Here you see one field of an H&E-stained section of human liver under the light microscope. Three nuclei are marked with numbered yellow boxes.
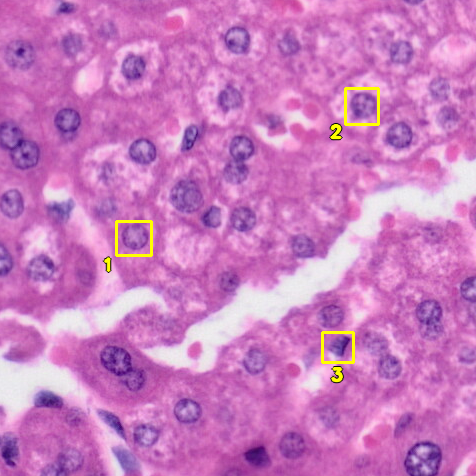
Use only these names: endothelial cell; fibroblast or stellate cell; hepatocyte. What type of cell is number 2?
hepatocyte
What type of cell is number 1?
hepatocyte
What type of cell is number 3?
fibroblast or stellate cell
